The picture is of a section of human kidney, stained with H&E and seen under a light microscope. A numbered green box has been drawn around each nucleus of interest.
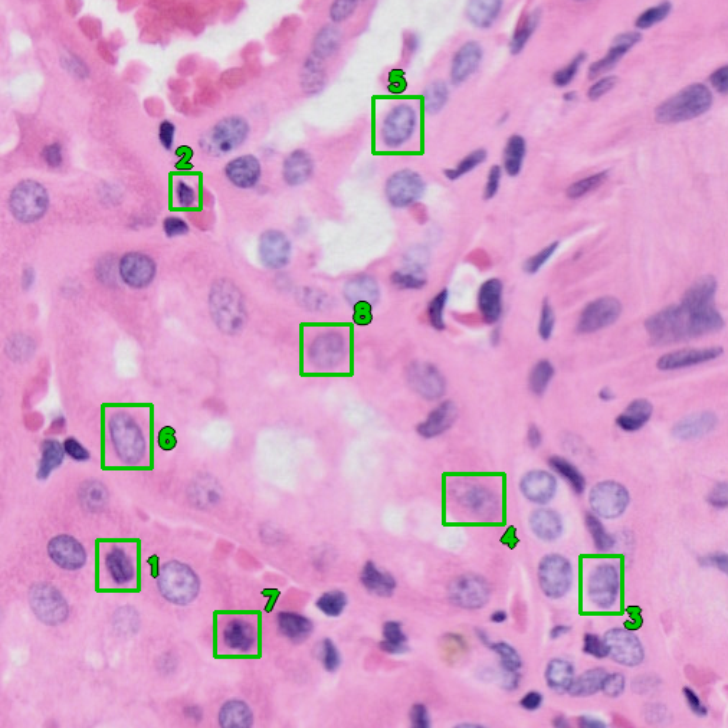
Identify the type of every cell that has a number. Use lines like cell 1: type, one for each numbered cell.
cell 1: proximal tubule cell
cell 2: endothelial cell
cell 3: collecting duct cell
cell 4: proximal tubule cell
cell 5: collecting duct cell
cell 6: proximal tubule cell
cell 7: proximal tubule cell
cell 8: proximal tubule cell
